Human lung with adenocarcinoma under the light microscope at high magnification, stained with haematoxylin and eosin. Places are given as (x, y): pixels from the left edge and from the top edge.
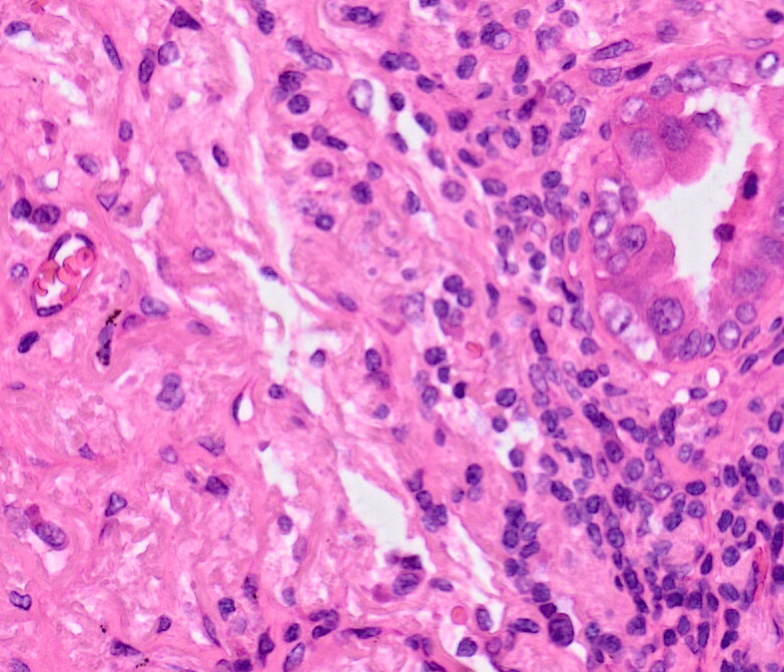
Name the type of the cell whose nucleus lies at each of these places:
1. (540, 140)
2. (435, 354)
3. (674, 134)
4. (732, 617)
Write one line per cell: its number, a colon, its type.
1: lymphocyte
2: lymphocyte
3: carcinoma cell
4: lymphocyte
